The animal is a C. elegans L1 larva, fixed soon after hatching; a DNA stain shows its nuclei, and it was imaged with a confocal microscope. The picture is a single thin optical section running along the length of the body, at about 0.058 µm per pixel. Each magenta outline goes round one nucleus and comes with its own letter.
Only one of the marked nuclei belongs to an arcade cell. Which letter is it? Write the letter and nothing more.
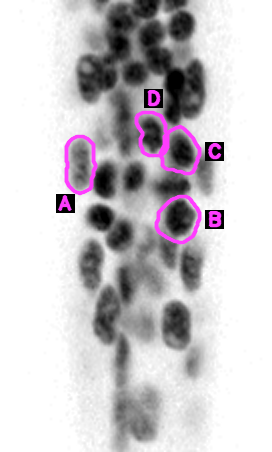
B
